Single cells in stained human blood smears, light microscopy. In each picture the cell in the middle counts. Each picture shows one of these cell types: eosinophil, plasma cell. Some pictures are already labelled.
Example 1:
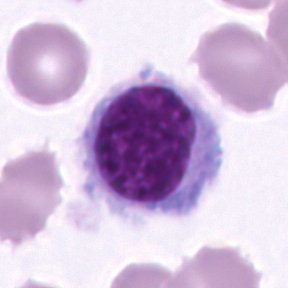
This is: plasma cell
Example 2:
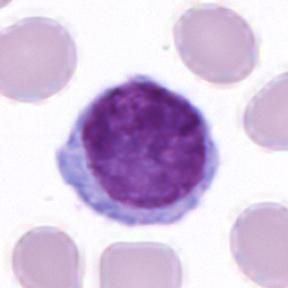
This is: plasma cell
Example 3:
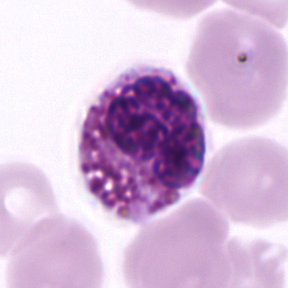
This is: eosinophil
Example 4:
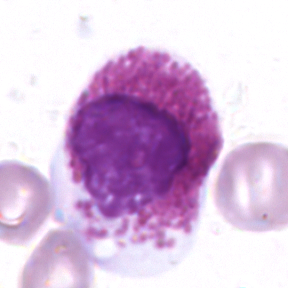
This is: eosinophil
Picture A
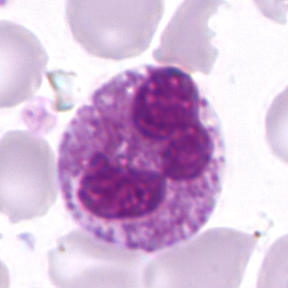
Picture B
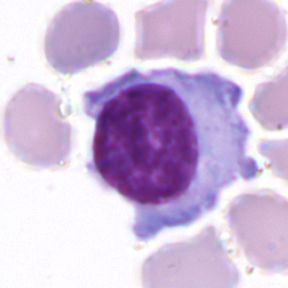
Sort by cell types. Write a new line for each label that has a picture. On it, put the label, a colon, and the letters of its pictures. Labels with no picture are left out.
eosinophil: A
plasma cell: B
